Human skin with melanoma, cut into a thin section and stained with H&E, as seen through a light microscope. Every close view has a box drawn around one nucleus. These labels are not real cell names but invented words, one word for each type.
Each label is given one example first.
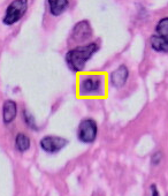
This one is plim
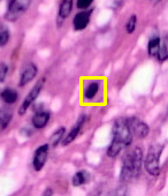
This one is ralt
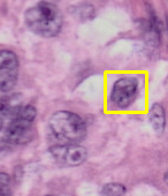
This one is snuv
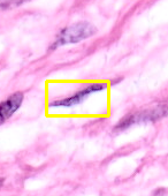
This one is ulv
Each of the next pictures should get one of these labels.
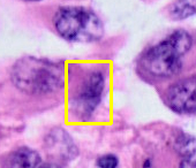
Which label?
snuv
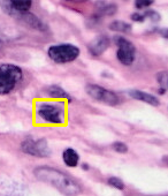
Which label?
ralt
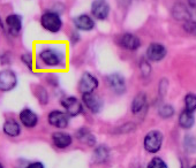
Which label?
ralt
